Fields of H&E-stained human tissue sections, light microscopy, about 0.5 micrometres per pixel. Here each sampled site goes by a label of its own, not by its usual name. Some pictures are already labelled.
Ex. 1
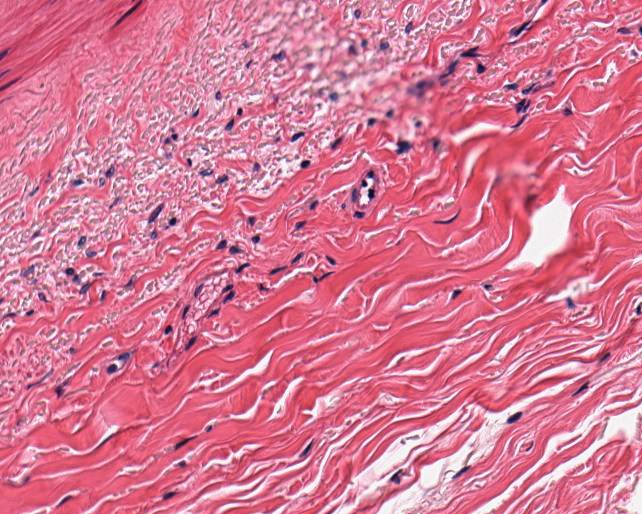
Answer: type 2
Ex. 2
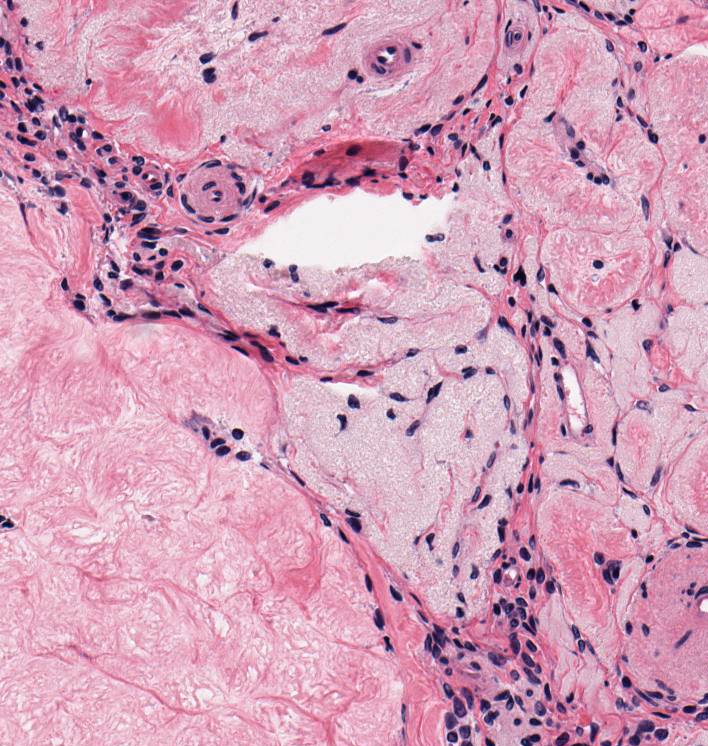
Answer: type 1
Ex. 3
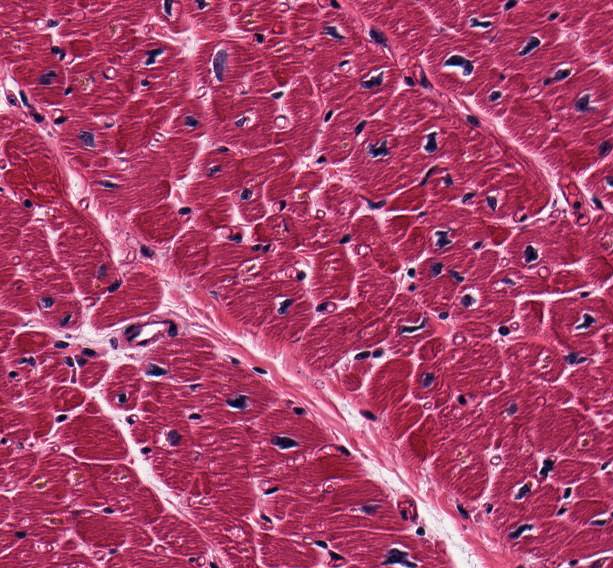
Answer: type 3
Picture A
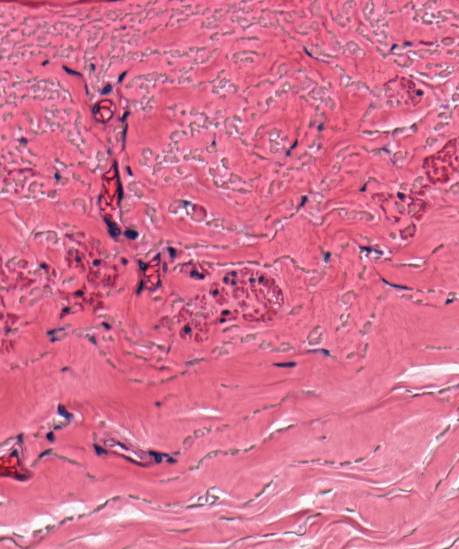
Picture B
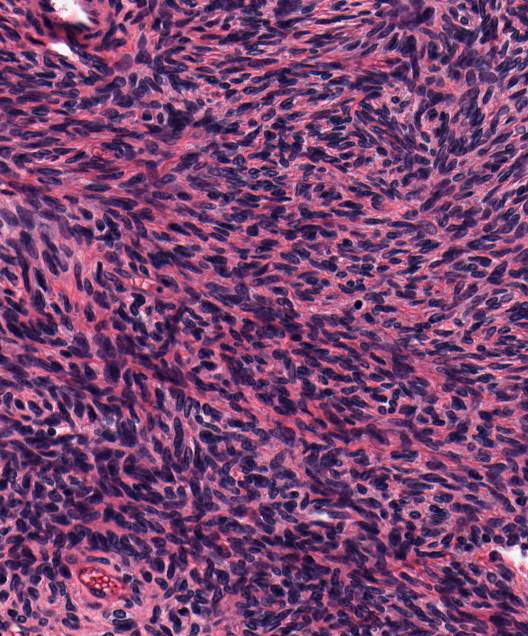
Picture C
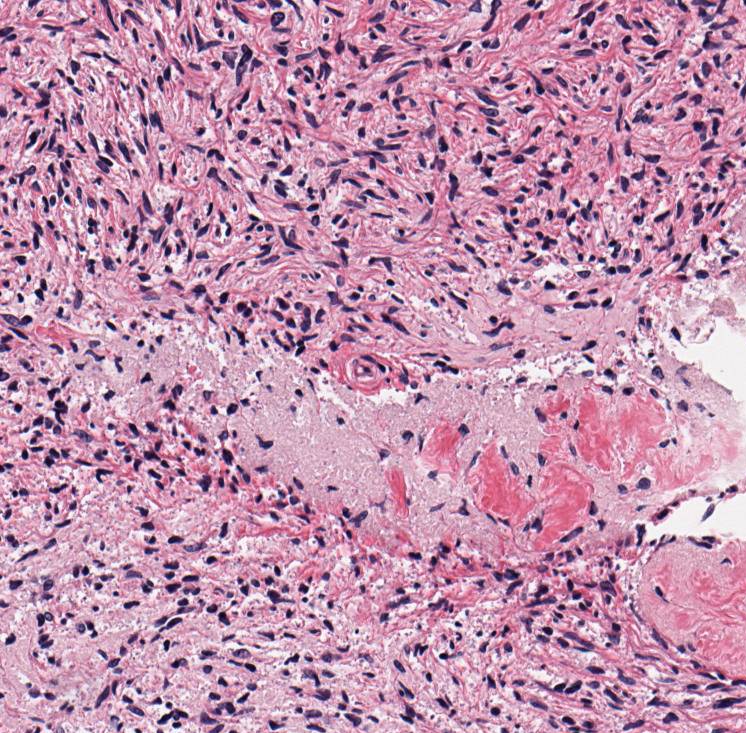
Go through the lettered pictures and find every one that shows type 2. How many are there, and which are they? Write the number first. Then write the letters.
1: A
